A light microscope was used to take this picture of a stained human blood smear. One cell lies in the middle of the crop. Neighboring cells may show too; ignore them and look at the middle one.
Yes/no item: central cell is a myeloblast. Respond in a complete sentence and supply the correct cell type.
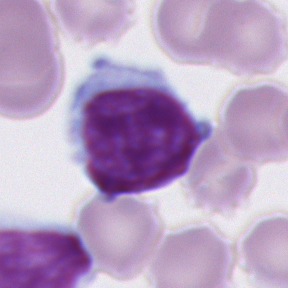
No, a typical lymphocyte rather than a myeloblast is the cell at the centre of the crop.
